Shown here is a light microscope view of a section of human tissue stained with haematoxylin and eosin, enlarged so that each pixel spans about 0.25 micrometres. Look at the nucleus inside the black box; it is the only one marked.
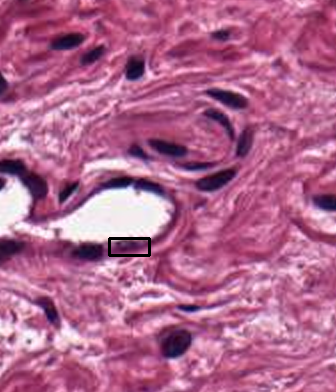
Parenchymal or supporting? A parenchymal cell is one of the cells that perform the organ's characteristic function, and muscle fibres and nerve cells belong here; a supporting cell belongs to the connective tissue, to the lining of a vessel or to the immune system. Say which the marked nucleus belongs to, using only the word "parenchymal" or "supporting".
supporting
